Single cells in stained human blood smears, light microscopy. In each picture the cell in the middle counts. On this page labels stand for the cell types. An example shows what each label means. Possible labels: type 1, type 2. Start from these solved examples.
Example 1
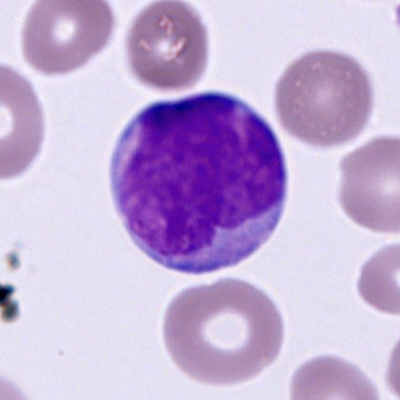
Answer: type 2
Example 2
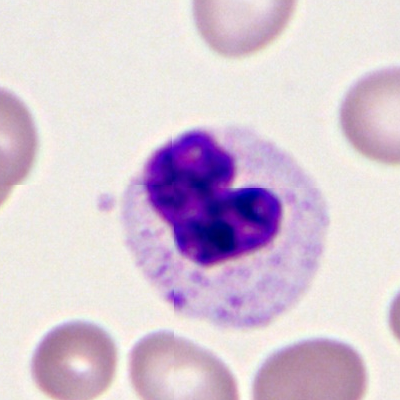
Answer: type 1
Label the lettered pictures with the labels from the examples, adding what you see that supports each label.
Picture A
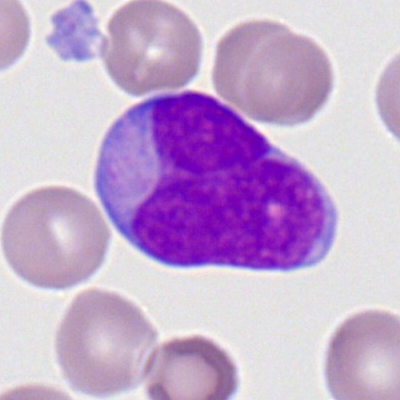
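Label: type 2. The nucleus fills most of the cell.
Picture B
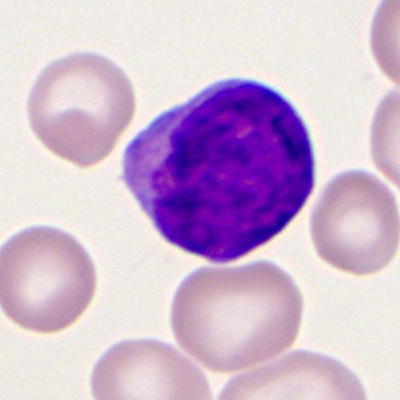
Label: type 2. A single unlobed nucleus fills most of the cell.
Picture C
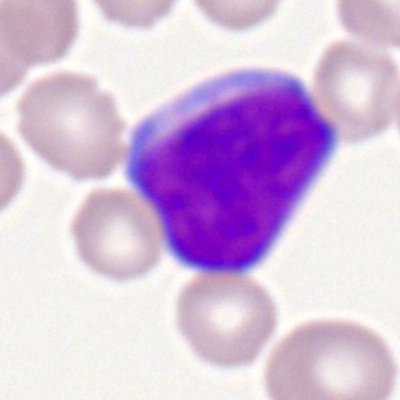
Label: type 2. The nucleus fills most of the cell.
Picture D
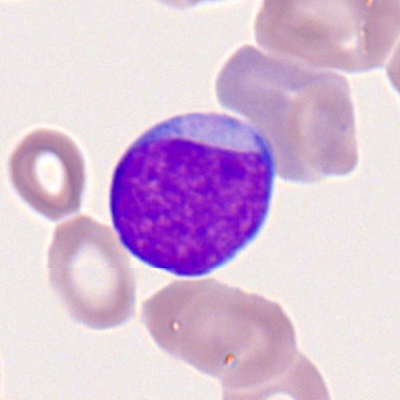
Label: type 2. The cytoplasm is scant, forming a thin rim that is widest at the top of the cell.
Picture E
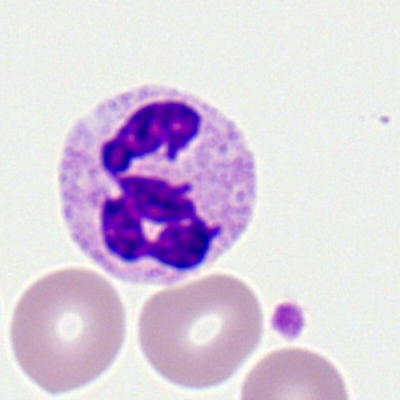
Label: type 1. The cytoplasm is abundant and pale pinkish-lilac.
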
